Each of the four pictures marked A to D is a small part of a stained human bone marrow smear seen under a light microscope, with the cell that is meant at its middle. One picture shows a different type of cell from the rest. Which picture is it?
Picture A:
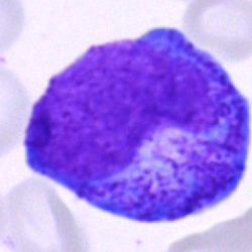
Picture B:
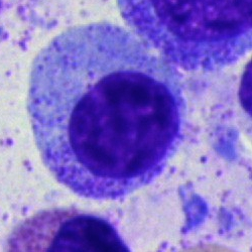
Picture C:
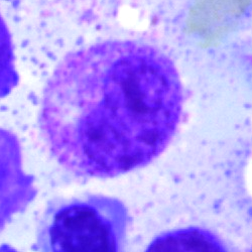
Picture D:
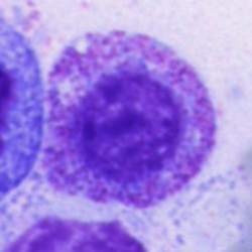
A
